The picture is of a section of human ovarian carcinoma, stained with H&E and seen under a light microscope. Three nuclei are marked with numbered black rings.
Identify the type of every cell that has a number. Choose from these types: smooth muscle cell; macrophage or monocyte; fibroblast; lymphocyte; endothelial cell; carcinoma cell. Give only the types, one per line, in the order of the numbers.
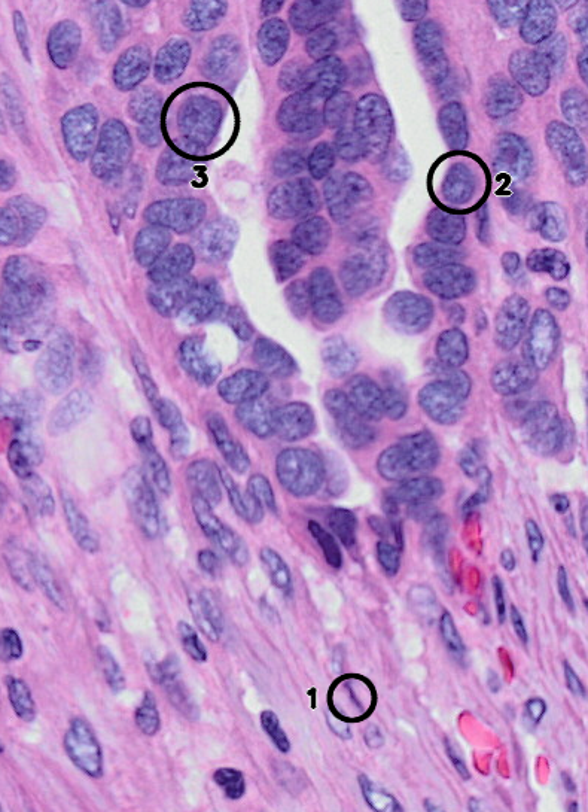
fibroblast
carcinoma cell
carcinoma cell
